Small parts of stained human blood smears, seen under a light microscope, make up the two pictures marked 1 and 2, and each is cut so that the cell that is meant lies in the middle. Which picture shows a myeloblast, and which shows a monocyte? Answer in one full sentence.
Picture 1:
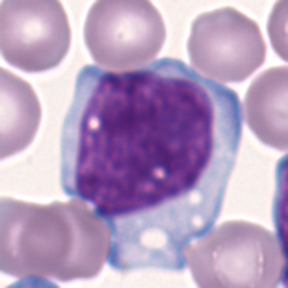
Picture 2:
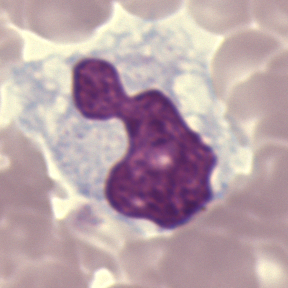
It is picture 1 that shows a myeloblast, and picture 2 that shows a monocyte.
